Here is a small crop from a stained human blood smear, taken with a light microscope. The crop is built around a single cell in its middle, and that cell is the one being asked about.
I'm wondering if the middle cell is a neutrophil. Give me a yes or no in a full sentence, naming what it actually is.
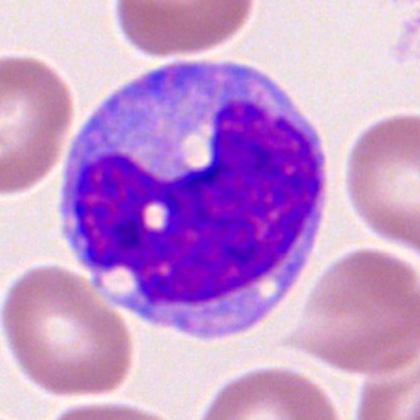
No, it is a monocyte that sits in the middle, not a neutrophil.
